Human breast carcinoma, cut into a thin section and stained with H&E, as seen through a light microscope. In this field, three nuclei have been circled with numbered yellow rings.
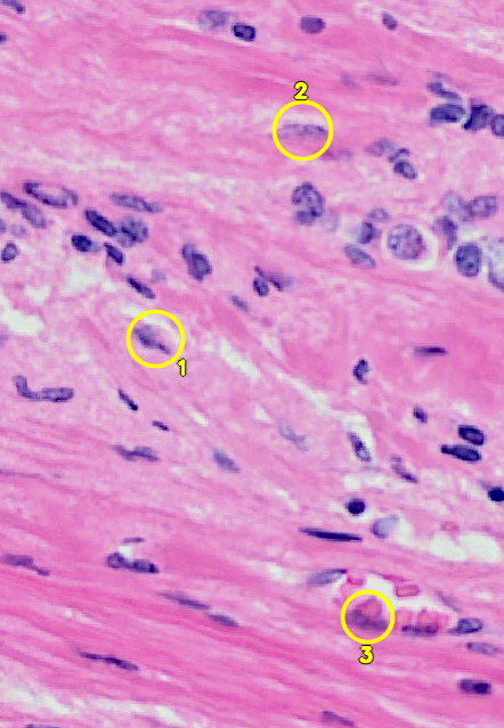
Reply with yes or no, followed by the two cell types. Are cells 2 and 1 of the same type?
Yes, that cells 2 and 1 are both fibroblasts holds true.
